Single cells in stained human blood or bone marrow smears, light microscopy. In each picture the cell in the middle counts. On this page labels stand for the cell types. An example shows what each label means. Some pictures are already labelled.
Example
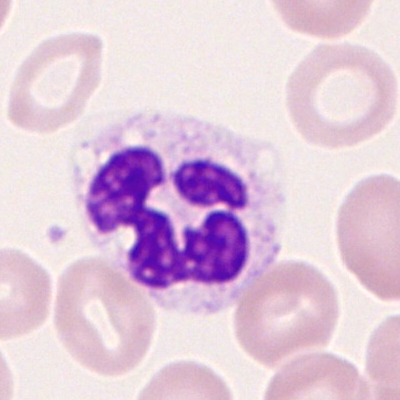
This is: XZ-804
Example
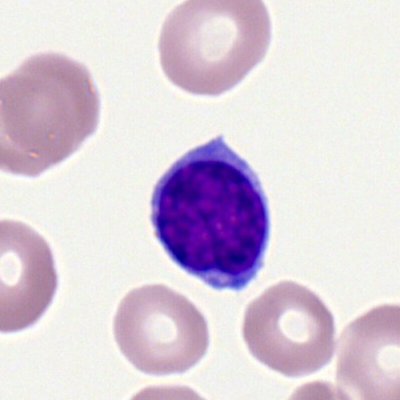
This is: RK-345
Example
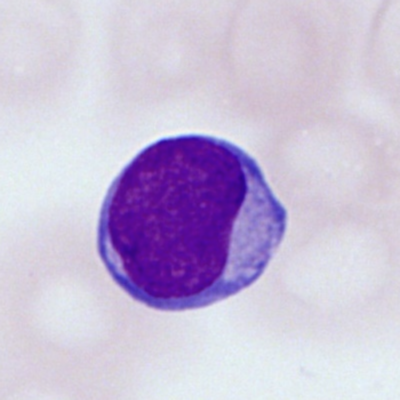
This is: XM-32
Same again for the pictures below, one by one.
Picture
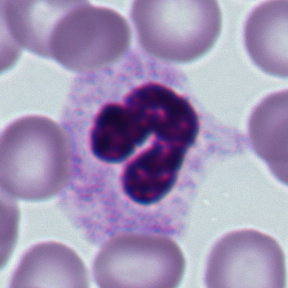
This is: XZ-804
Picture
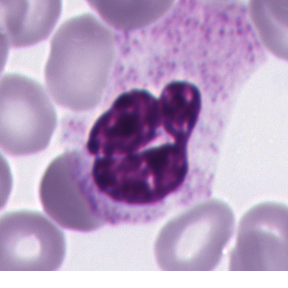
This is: XZ-804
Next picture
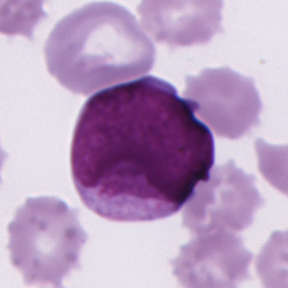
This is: XM-32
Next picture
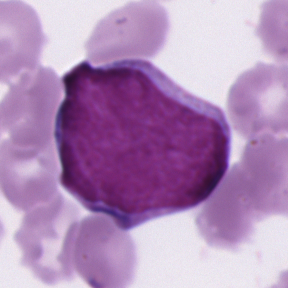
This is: XM-32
